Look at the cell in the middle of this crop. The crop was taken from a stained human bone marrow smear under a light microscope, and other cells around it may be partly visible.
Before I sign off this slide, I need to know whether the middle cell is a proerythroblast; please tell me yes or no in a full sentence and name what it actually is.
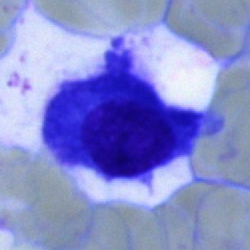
No, mark the middle cell as a plasma cell, not a proerythroblast.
